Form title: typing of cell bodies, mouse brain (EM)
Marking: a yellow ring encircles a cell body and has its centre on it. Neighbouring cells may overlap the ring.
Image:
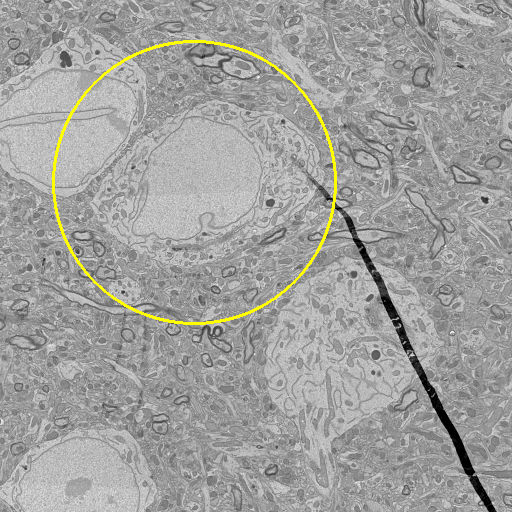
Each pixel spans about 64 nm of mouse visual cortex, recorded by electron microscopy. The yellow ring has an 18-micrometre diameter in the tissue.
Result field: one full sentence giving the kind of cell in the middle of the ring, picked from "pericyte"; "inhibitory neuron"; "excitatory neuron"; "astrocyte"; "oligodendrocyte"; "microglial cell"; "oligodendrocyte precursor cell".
In the picture, the ring is centred on an inhibitory neuron, whose cell body it encircles.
